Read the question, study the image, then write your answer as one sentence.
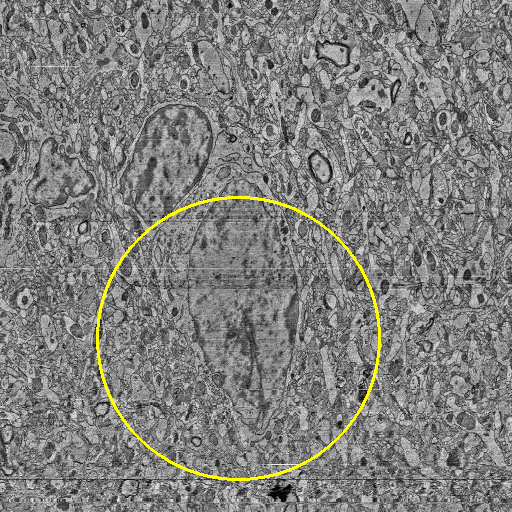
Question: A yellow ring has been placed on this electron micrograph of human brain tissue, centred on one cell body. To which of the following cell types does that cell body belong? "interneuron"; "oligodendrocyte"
That cell body belongs to an interneuron.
